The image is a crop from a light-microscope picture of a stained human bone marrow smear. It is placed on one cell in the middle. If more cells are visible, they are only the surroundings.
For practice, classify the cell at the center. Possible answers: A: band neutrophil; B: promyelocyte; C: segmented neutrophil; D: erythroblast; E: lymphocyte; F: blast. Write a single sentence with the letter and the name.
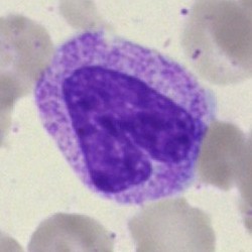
That cell in the center is a band neutrophil, hence option A.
